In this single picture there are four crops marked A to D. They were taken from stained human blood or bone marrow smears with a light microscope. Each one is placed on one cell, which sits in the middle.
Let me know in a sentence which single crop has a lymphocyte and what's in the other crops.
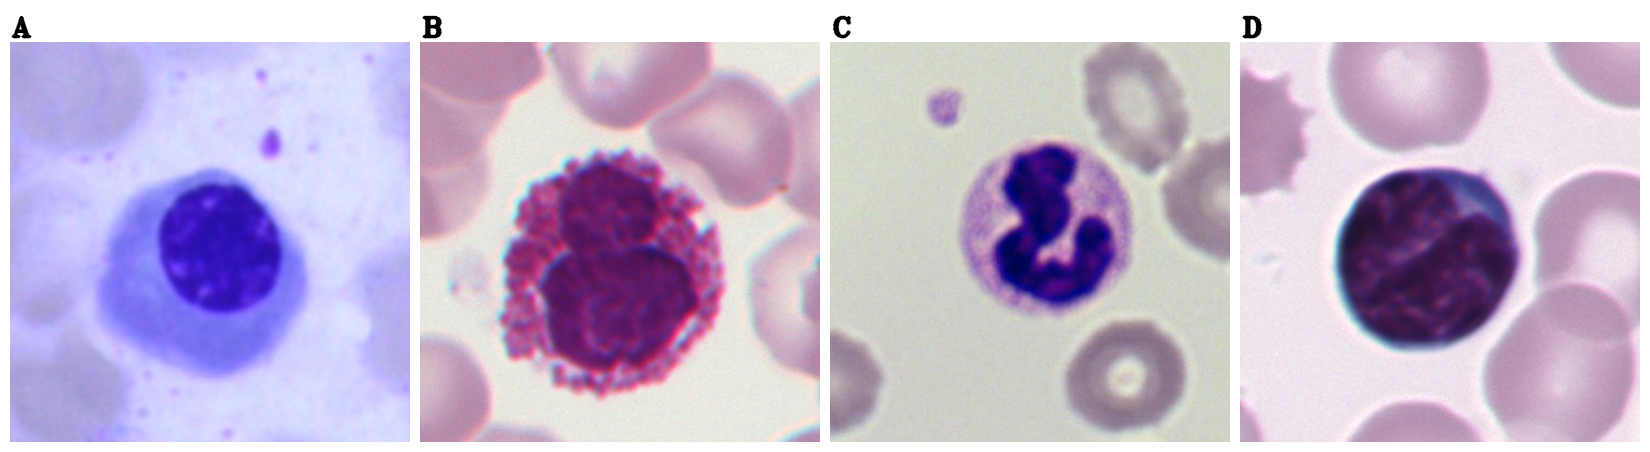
The middle cell of crop D is a lymphocyte, while crop A is a normoblast, crop B is an eosinophil and crop C is a neutrophil.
